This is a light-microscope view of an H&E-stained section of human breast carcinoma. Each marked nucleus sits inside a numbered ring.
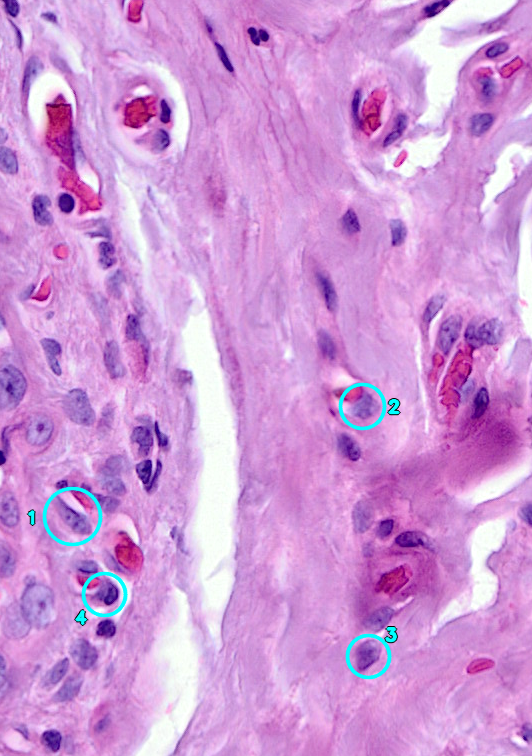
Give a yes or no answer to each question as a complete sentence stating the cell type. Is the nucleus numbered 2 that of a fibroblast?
No, cell 2 should be read as an endothelial cell instead of a fibroblast.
